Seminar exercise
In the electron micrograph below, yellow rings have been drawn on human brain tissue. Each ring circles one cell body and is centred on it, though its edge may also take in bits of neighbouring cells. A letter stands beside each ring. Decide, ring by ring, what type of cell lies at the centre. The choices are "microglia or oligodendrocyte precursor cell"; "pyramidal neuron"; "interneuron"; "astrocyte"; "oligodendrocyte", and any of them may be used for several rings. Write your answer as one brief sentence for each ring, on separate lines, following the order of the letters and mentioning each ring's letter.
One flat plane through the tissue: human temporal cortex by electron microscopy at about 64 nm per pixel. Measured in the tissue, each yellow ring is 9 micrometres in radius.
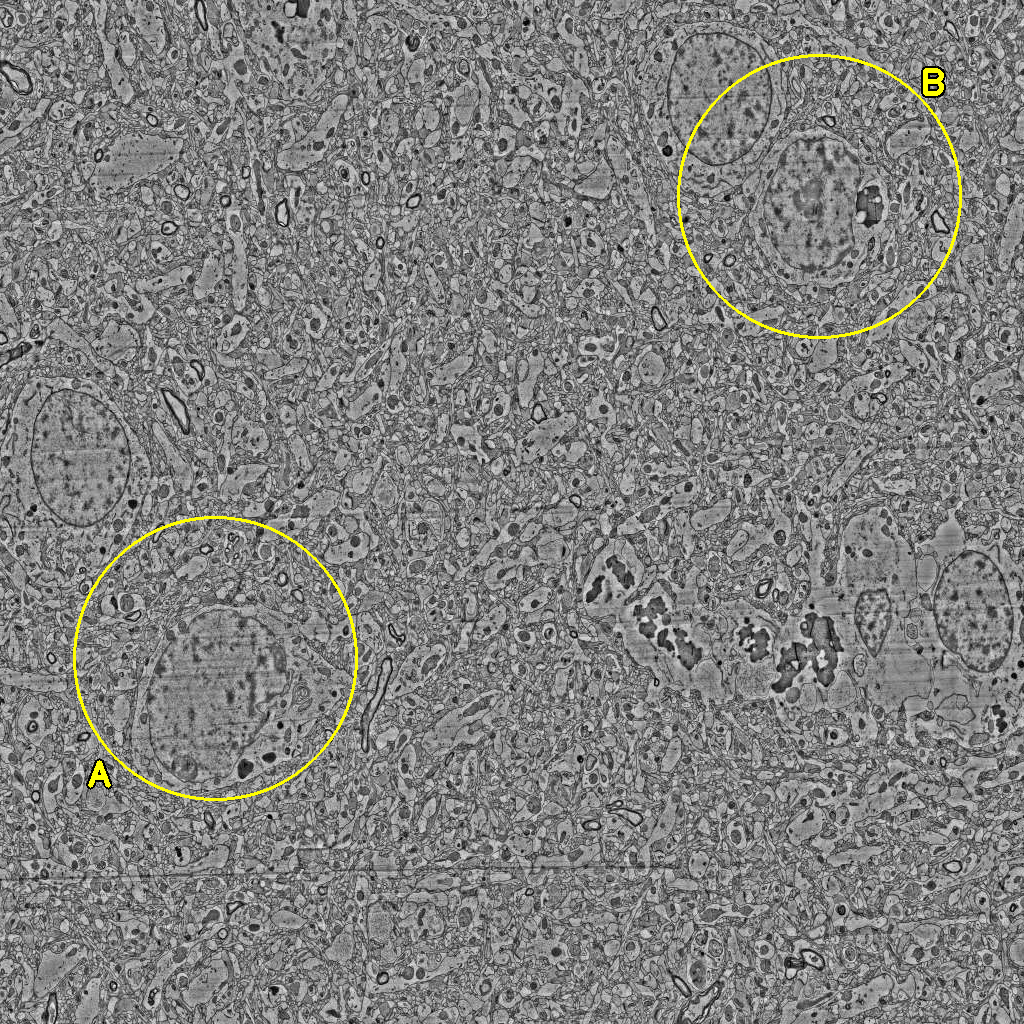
The cell in the middle of ring A is an interneuron.
The cell in the middle of ring B is an interneuron.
